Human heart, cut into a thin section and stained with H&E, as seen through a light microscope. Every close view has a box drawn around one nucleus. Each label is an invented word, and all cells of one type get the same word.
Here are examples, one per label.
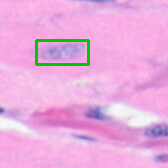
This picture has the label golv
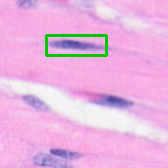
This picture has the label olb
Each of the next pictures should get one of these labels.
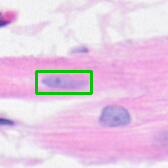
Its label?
golv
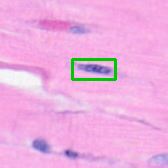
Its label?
olb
